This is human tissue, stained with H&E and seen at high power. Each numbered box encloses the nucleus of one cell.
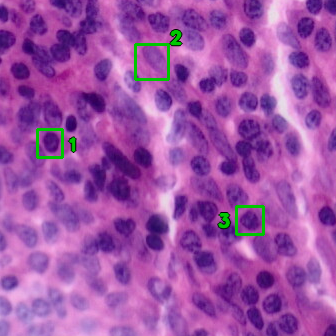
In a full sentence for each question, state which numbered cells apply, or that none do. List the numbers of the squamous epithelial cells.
Mind that only cell 2 is a squamous epithelial cell, none of the rest.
